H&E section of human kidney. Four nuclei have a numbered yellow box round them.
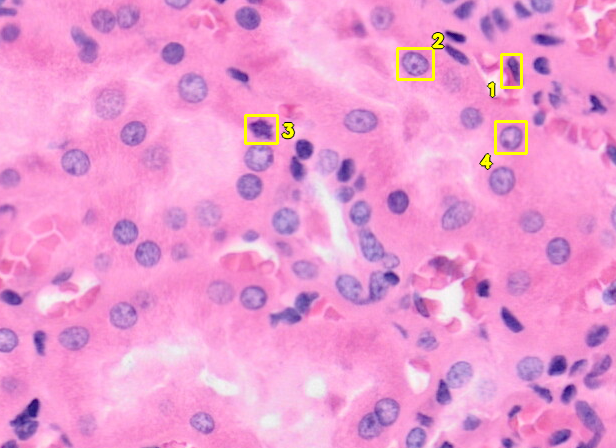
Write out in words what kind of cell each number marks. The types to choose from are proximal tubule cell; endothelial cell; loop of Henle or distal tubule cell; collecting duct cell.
Cell 1 is an endothelial cell. Cells 2, 3 and 4 are proximal tubule cells.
